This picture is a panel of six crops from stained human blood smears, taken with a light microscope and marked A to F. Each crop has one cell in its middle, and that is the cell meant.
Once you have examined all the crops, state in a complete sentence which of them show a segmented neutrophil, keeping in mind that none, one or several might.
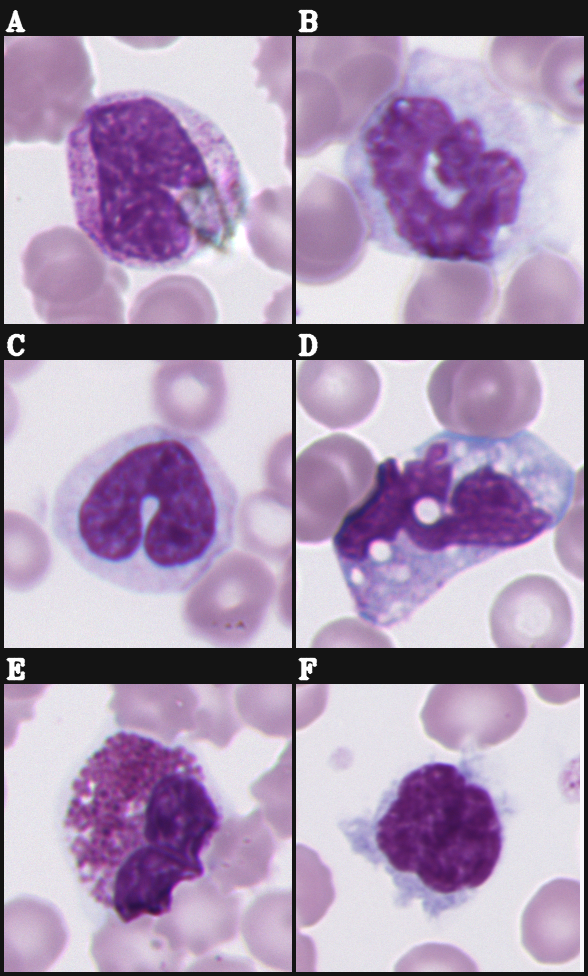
Among the crops, not a single one shows a segmented neutrophil.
